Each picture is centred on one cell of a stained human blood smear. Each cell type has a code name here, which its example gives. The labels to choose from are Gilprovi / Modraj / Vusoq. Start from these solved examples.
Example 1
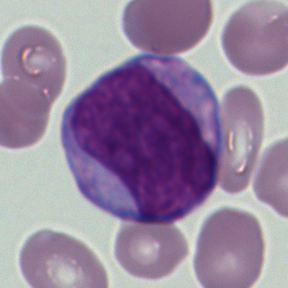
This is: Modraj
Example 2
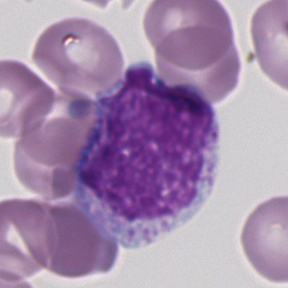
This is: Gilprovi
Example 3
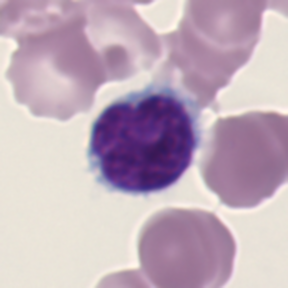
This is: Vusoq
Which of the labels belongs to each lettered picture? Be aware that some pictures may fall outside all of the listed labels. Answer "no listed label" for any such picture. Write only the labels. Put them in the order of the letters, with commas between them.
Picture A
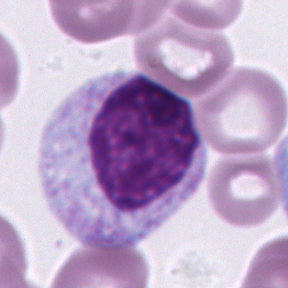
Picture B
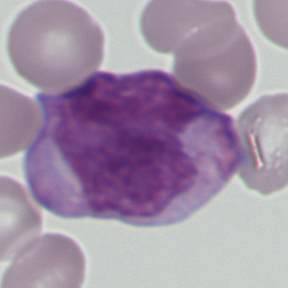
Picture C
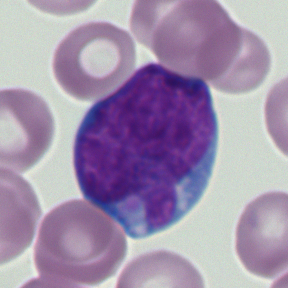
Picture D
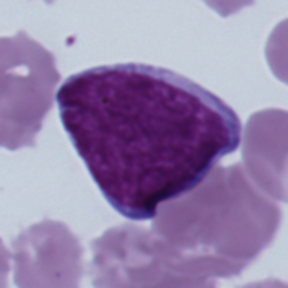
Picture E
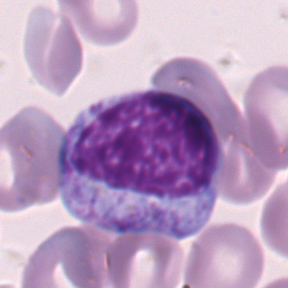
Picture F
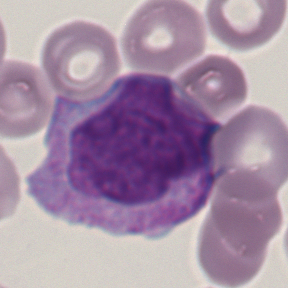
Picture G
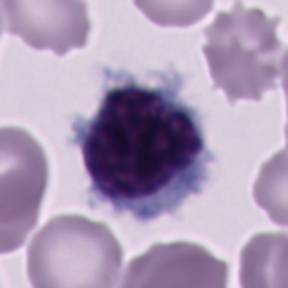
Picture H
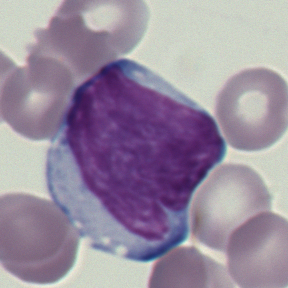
Gilprovi, Modraj, no listed label, no listed label, Gilprovi, Modraj, Vusoq, no listed label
